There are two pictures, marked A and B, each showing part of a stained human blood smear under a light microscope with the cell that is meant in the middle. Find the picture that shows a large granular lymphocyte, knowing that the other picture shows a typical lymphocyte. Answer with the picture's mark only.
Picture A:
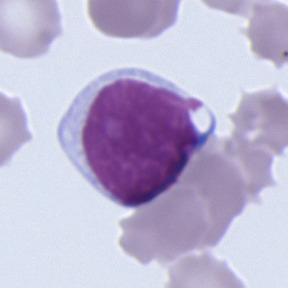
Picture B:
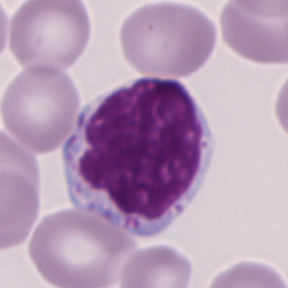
B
